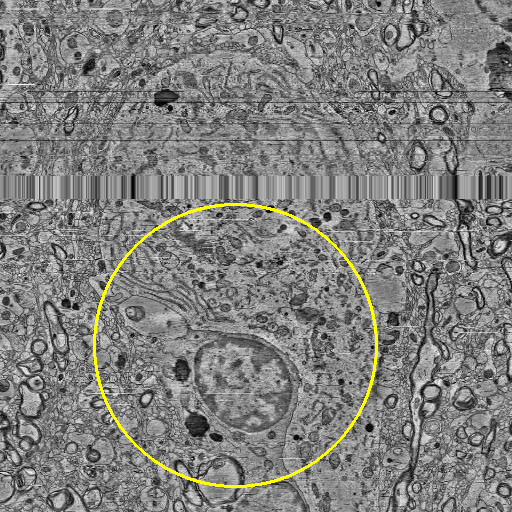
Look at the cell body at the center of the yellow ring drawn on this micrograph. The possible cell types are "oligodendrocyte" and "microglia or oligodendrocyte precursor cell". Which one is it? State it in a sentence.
The cell in the middle of the ring is an oligodendrocyte.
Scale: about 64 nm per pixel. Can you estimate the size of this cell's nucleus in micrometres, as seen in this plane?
The ringed cell's nucleus measures approximately 7 by 6 micrometres in this plane.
